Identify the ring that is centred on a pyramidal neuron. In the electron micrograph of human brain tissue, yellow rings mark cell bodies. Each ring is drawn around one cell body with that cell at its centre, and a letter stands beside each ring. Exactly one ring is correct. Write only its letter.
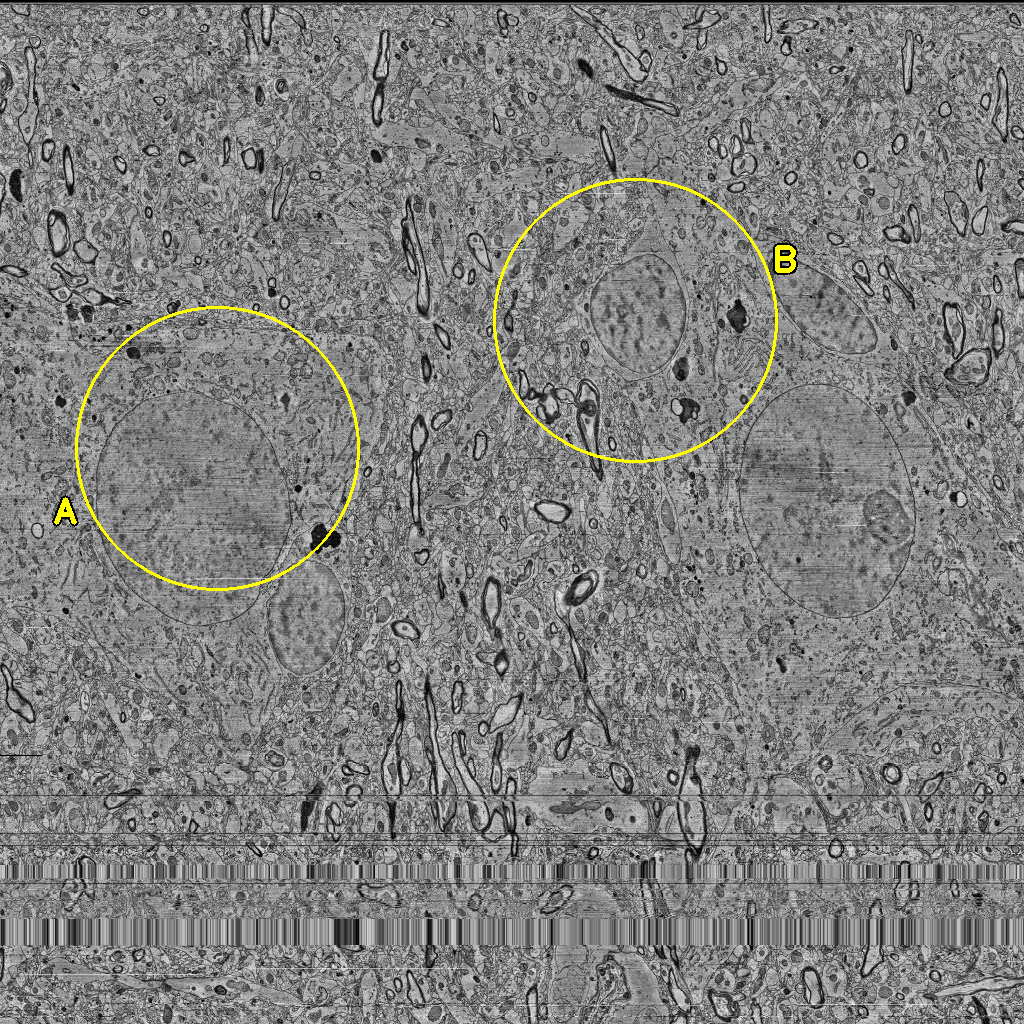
A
